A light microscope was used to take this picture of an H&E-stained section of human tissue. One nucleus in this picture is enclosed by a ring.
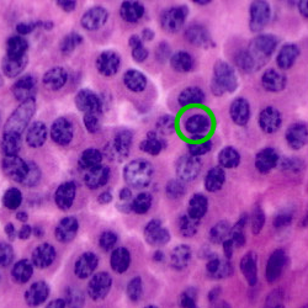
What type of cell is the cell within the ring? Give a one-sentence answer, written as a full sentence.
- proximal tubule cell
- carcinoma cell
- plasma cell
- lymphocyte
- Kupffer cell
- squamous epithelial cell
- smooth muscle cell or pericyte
In this field of tissue, the cell within the ring is a plasma cell.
